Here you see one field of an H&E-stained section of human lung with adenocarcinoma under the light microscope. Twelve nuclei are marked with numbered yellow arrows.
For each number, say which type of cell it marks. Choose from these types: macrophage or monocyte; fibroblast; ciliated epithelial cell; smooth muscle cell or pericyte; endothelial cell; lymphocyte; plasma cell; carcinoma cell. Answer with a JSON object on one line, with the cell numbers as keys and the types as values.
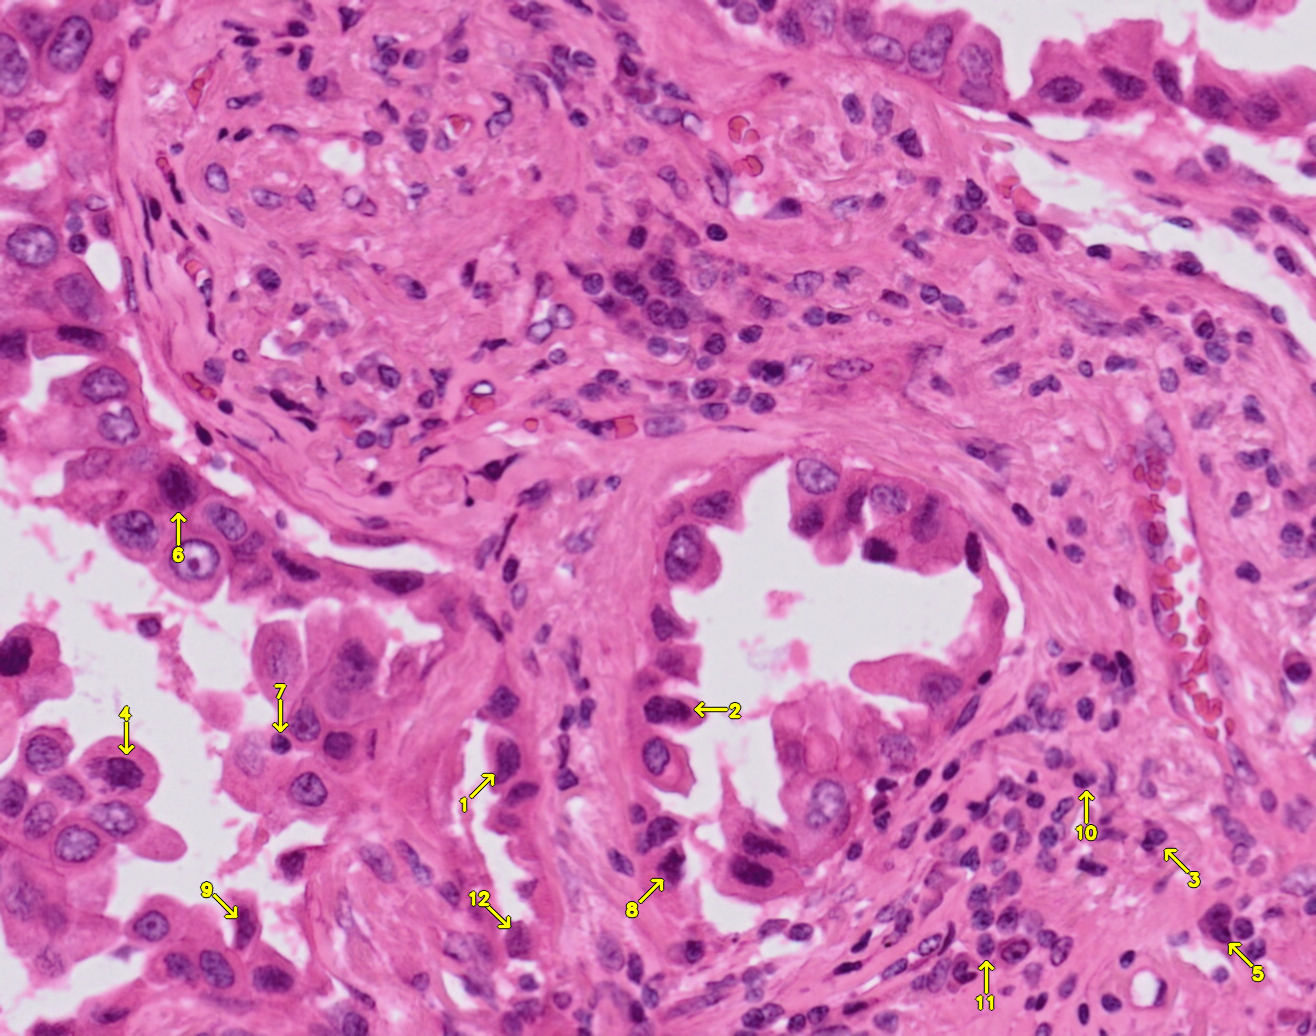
{"1": "carcinoma cell", "2": "carcinoma cell", "3": "plasma cell", "4": "carcinoma cell", "5": "plasma cell", "6": "carcinoma cell", "7": "lymphocyte", "8": "carcinoma cell", "9": "carcinoma cell", "10": "lymphocyte", "11": "lymphocyte", "12": "carcinoma cell"}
